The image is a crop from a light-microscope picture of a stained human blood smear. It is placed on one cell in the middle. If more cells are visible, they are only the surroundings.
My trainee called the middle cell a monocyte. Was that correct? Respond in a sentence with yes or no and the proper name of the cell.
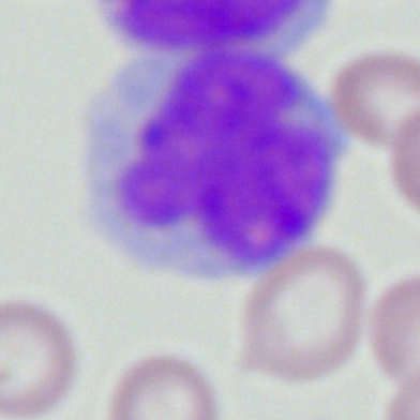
Yes, the cell sitting in the middle of this smear crop is a monocyte.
